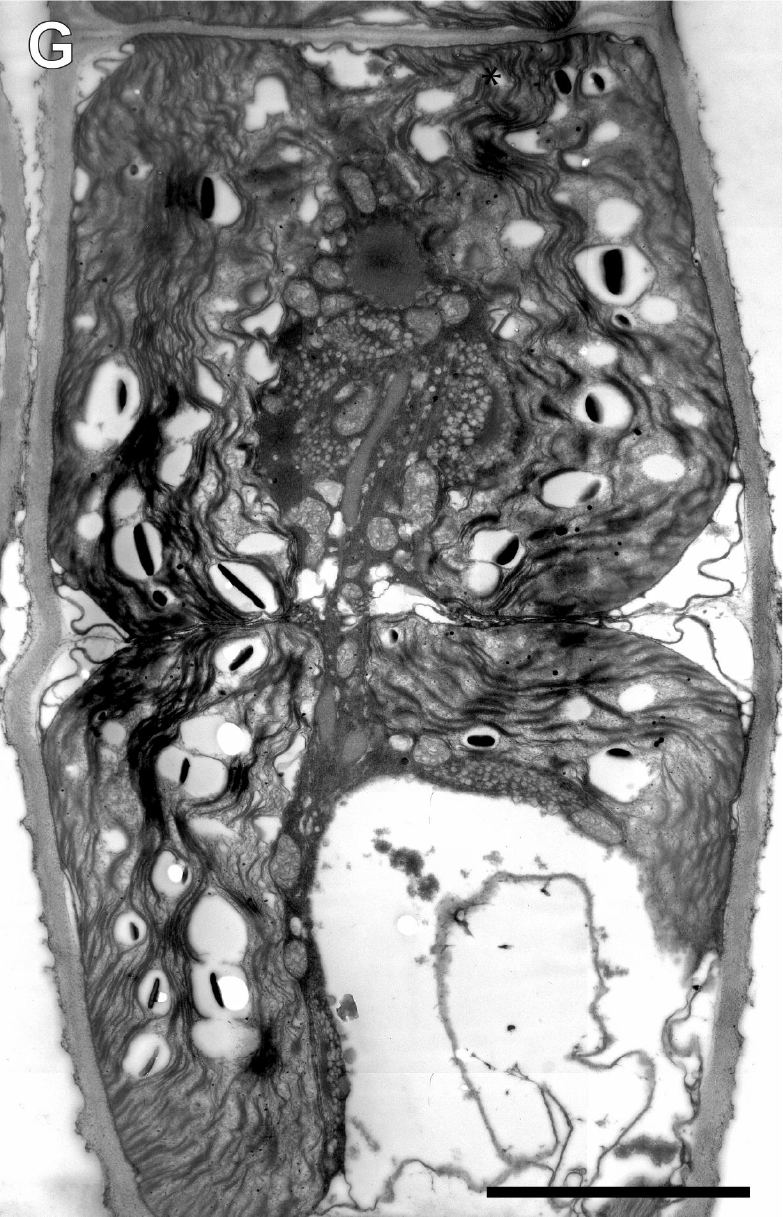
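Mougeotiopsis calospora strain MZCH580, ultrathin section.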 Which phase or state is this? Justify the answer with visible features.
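The cell is pinched at its middle from both sides. Membrane-rich contents run across the narrowing between the two halves.
Dividing cell.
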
